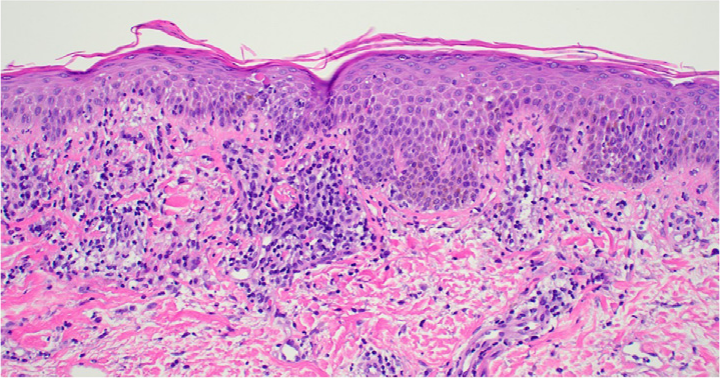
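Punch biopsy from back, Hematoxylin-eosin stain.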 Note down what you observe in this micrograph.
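This is skin with a thickened epidermis over a pale pink collagenous dermis. The epidermis is made of many layers of keratinocytes with round nuclei and pink cytoplasm, topped by a thin compact pink horny layer partly lifting off, and its rete ridges reach down unevenly into the dermis. In the upper dermis a dense crowd of small cells with dark round nuclei presses against the base of the epidermis on the left, where the border between epidermis and dermis is blurred. Fewer of these inflammatory cells are scattered among the collagen bundles and around vessels deeper in the dermis.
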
